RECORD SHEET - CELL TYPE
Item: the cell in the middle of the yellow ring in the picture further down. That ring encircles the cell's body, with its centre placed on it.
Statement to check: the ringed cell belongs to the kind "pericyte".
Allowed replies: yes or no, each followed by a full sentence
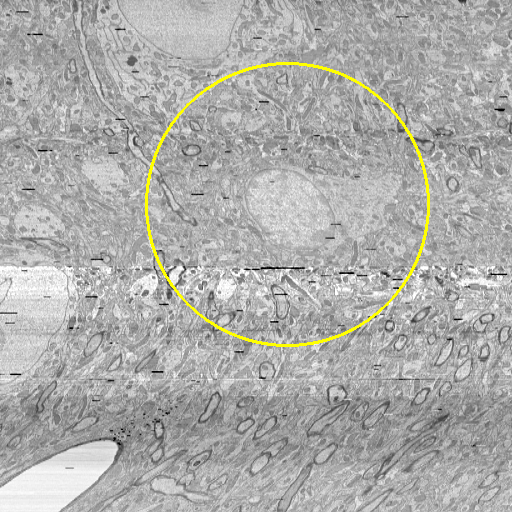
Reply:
No, the cell held at the centre of the ring in the picture is of a different kind.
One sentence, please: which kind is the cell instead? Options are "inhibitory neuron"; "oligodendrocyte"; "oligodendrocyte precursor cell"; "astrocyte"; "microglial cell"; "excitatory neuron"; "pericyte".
The cell circled by the yellow ring is an oligodendrocyte.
